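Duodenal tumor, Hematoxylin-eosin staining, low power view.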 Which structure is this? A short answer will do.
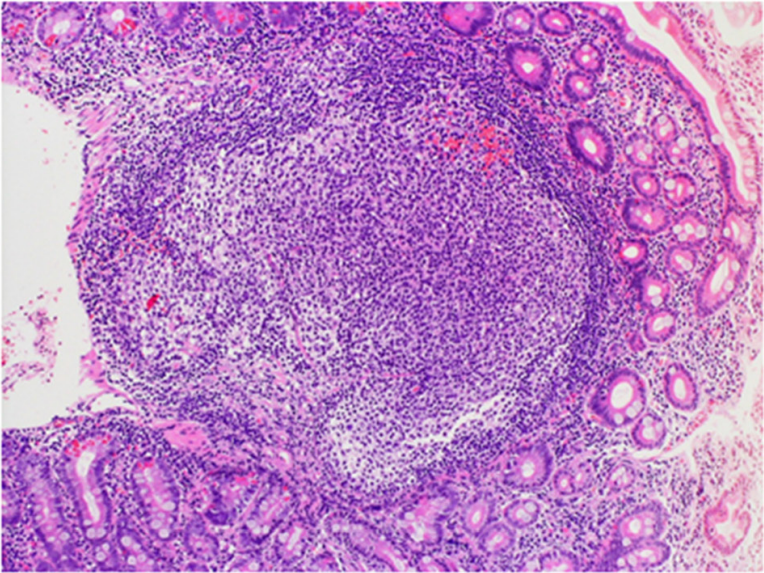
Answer: Follicles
